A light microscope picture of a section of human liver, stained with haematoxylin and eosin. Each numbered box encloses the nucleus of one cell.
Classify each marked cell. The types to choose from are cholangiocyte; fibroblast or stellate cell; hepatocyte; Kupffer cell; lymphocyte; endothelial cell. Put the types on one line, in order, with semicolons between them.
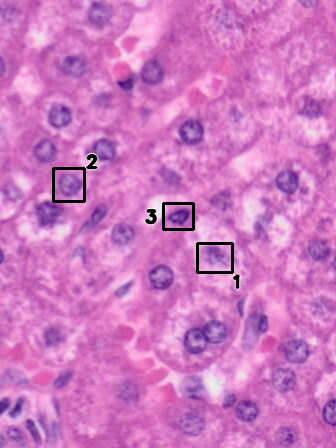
hepatocyte; hepatocyte; Kupffer cell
